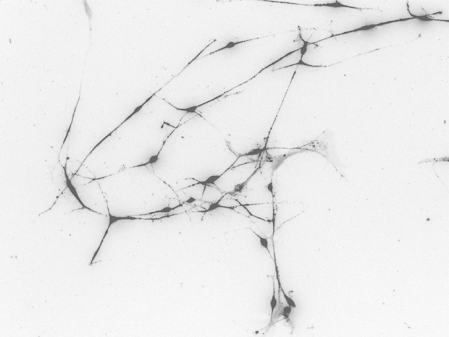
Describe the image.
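Scattered nerve cells in culture show up dark on a pale ground, each with a small spindle-shaped or triangular cell body that gives off two or more long, thin processes. Small swellings lie along some processes. No nuclear detail can be made out in the cell bodies. These are cultured nerve cells with their neurites stained dark.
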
